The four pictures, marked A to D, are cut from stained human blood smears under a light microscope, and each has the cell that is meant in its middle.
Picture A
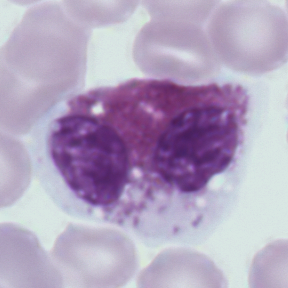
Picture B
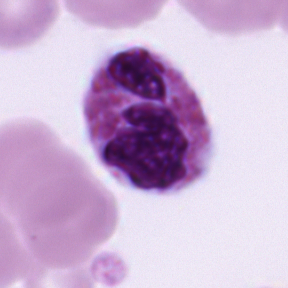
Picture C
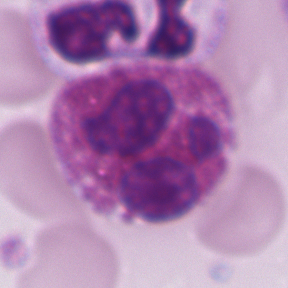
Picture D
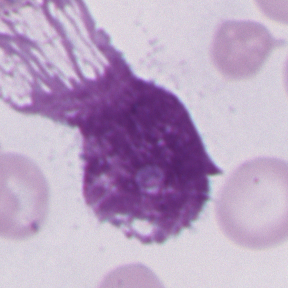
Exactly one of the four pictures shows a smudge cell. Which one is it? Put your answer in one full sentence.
The smudge cell is the one in picture D.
